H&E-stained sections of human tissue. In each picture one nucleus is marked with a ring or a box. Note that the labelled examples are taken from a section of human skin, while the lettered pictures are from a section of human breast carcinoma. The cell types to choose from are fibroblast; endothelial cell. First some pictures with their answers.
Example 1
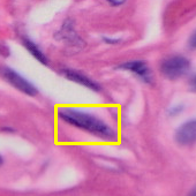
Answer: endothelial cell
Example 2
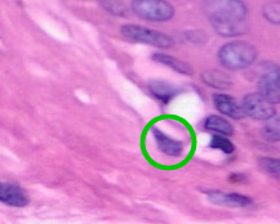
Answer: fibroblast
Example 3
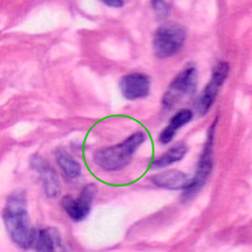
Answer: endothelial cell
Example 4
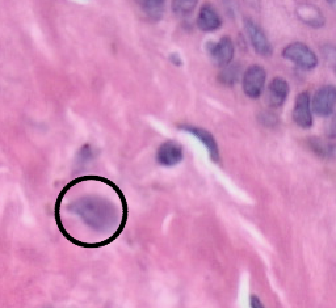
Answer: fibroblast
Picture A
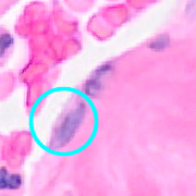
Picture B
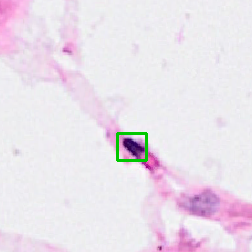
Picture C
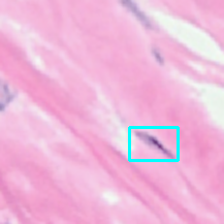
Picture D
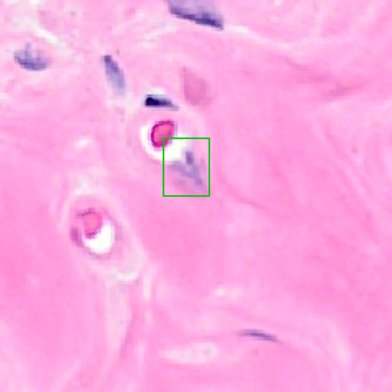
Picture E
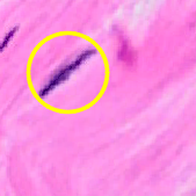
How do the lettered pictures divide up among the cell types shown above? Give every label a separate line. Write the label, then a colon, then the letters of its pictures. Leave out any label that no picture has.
fibroblast: C, E
endothelial cell: A, B, D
